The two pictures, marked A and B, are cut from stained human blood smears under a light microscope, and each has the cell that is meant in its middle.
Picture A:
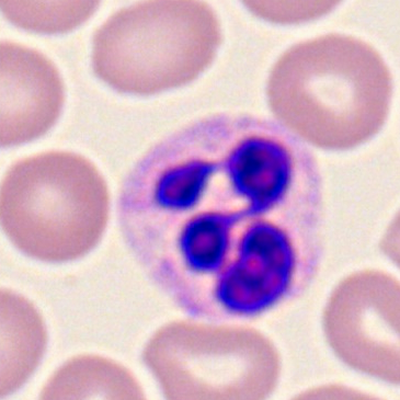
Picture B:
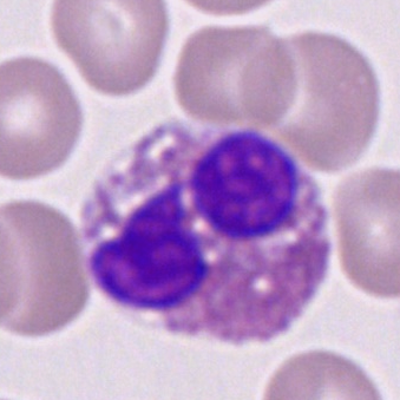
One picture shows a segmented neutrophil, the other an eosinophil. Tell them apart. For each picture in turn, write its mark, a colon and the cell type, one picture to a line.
A: segmented neutrophil
B: eosinophil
